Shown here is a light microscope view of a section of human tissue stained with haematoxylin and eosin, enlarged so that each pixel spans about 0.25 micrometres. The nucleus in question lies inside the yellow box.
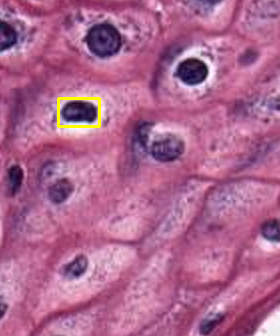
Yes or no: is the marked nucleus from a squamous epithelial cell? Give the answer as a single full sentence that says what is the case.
Yes, it is within a squamous epithelial cell that the marked nucleus lies.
